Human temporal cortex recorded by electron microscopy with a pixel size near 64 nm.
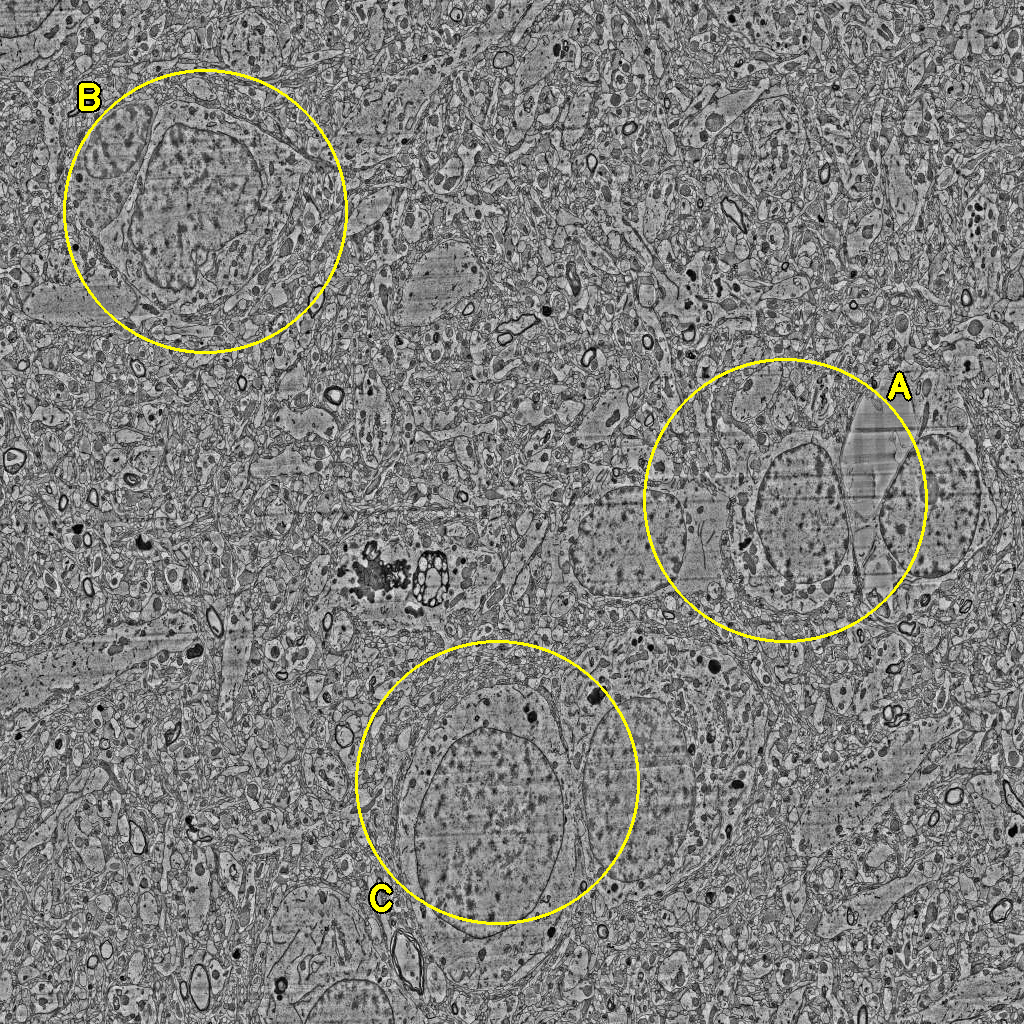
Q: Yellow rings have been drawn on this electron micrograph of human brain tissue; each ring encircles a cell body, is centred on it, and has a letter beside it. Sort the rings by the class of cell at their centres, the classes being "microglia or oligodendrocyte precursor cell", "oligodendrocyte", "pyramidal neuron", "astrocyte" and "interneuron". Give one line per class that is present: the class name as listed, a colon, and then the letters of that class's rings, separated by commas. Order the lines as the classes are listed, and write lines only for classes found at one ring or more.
pyramidal neuron: C
astrocyte: A
interneuron: B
